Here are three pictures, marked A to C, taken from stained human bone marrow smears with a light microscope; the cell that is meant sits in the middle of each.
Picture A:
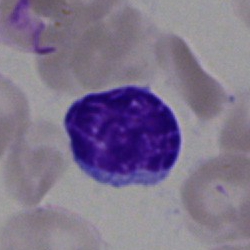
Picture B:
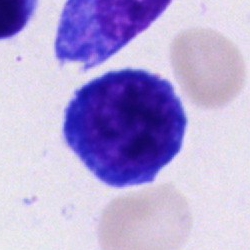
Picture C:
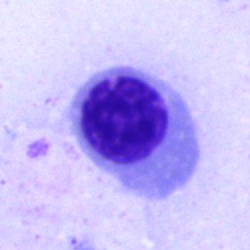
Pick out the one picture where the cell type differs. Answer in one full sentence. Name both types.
All pictures except A show erythroblasts; picture A shows a lymphocyte.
